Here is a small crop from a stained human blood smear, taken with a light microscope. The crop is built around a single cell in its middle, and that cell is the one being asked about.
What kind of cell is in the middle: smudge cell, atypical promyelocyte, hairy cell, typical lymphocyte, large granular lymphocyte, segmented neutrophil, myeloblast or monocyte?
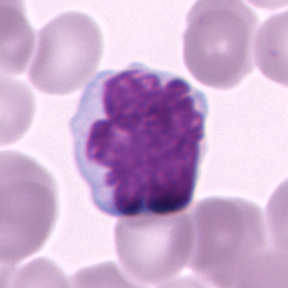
large granular lymphocyte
